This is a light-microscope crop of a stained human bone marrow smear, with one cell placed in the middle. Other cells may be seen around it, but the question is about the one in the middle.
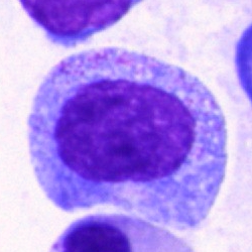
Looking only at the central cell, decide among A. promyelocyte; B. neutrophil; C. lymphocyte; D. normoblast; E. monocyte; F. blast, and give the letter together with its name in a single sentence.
Option A is the correct one; it names the central cell as a promyelocyte.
